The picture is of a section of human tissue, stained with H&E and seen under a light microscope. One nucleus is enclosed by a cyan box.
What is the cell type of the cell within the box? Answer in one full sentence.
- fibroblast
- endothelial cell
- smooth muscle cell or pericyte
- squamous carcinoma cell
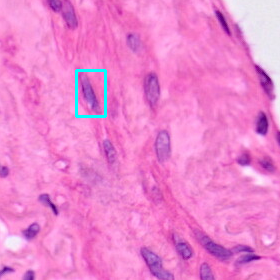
Labelled by cell type, the cell within the box is a smooth muscle cell or pericyte.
